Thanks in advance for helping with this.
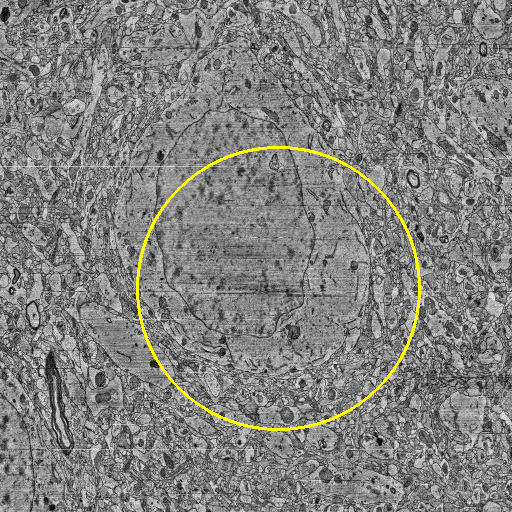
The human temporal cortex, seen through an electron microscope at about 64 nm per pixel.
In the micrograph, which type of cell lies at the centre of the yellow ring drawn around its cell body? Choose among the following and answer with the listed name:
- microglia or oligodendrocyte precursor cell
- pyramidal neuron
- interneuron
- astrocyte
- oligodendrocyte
pyramidal neuron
